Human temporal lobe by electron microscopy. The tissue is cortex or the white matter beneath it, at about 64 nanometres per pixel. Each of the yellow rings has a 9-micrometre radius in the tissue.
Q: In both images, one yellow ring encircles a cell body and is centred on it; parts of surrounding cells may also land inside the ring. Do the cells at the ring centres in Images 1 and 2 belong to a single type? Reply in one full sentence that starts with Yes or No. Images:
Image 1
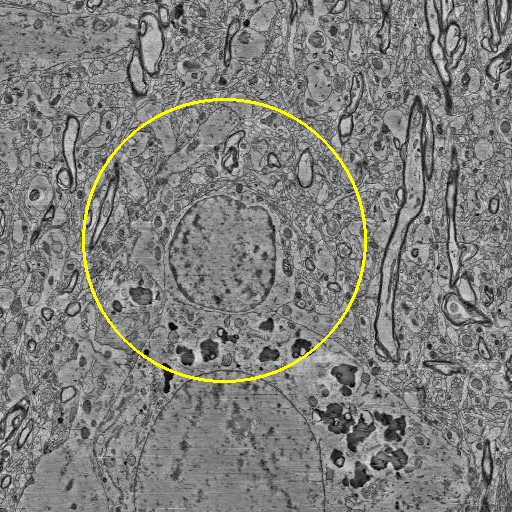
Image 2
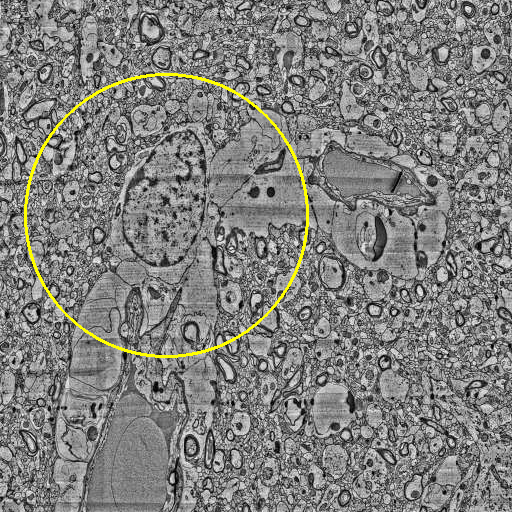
Yes, the cells at the ring centres in Images 1 and 2 are of a single type.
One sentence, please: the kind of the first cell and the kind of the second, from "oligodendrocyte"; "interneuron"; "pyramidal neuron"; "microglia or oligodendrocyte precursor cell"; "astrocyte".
Both cells are the same kind, each one being a microglial cell or oligodendrocyte precursor cell.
